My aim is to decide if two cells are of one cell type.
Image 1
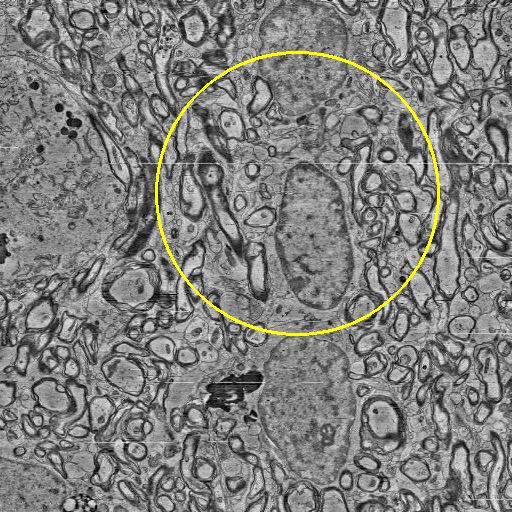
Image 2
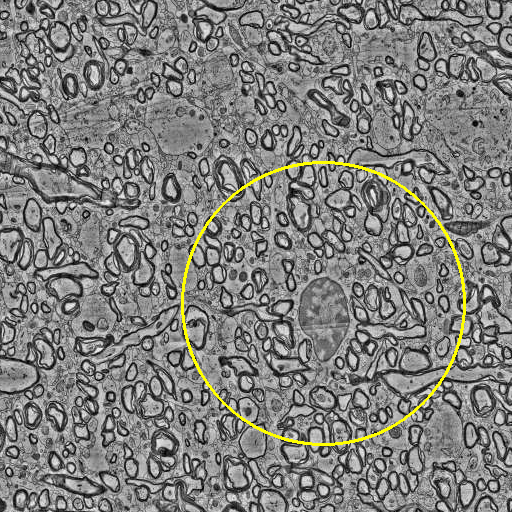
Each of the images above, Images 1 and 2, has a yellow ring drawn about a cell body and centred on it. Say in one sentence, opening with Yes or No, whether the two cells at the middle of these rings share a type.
Yes, in Images 1 and 2 the cells at the middle of the rings share one type.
